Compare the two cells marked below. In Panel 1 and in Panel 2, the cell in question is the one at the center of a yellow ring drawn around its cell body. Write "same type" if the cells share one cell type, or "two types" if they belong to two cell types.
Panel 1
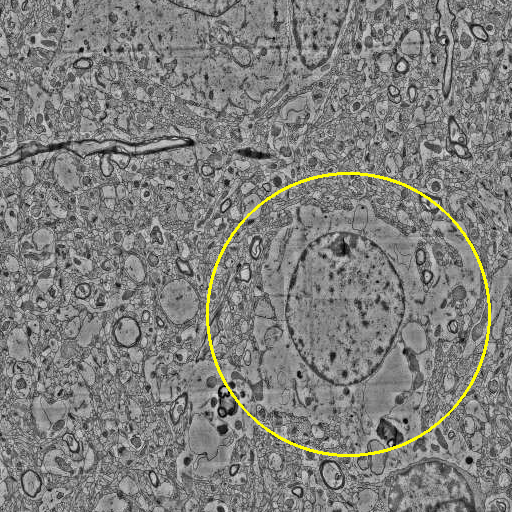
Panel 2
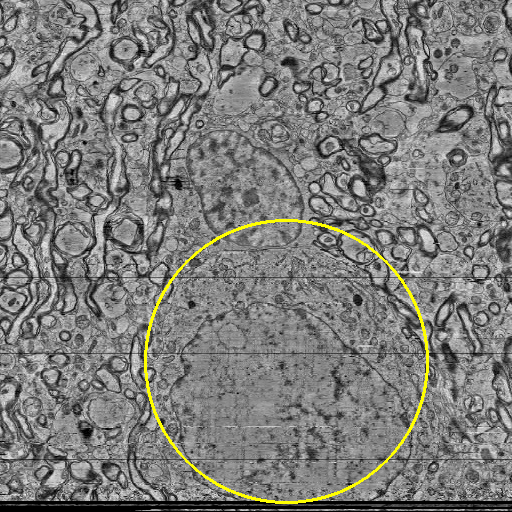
two types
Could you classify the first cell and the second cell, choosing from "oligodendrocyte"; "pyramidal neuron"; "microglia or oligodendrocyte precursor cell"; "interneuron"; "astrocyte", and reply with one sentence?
The second cell is a pyramidal neuron, while the first is an astrocyte.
